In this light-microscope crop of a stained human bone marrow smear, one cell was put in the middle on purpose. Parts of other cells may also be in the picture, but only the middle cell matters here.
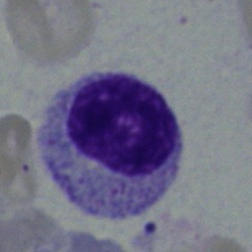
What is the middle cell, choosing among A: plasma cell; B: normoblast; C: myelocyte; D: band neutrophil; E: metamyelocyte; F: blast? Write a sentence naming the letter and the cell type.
The central cell is a myelocyte, which makes option C the right answer.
